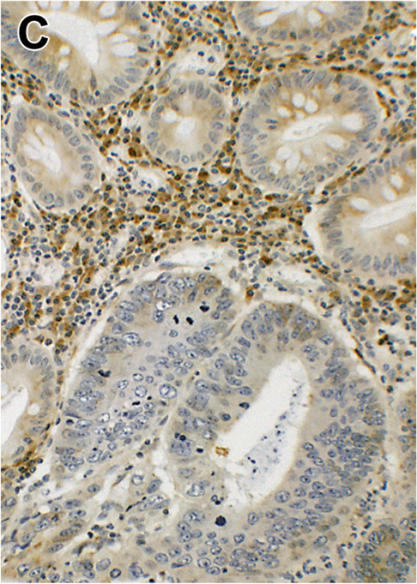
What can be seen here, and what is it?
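Colonic mucosa in which normal crypts lie above and neoplastic glands of adenocarcinoma below. The upper crypts are small and round, lined by columnar cells with light brown cytoplasm and holding clear goblet cell vacuoles. The lamina propria between them is crowded with small cells, many with brown cytoplasm. The lower glands are much larger; their lining cells are crowded and stratified, with enlarged, oval, vesicular nuclei and pale grey-blue cytoplasm, and goblet cells are absent. A lumen in the lower gland holds some dark debris.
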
